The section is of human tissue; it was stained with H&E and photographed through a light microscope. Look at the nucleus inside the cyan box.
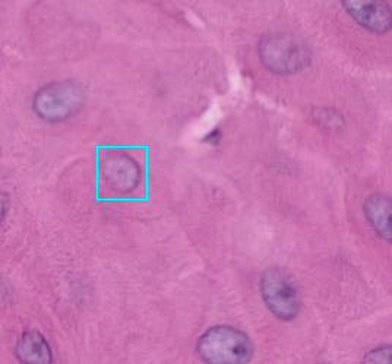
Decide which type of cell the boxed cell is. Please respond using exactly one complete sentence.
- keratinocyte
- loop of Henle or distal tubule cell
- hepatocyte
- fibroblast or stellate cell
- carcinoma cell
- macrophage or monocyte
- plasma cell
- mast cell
In this field of tissue, the boxed cell is a keratinocyte.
